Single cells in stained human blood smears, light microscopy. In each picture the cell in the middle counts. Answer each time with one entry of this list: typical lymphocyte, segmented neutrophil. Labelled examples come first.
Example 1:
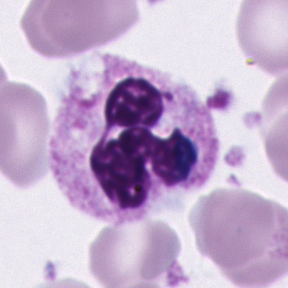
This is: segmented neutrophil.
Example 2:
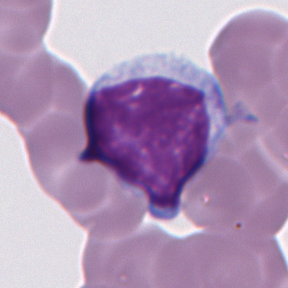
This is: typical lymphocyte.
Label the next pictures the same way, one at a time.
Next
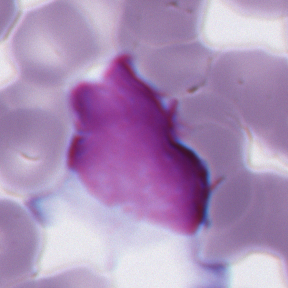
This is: typical lymphocyte.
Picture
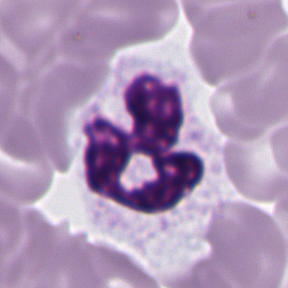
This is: segmented neutrophil.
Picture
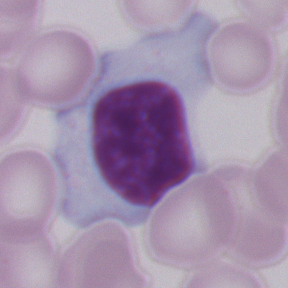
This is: typical lymphocyte.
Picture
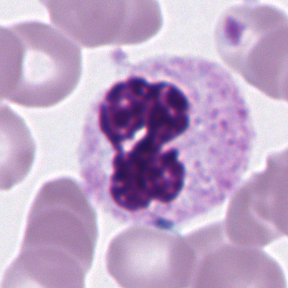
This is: segmented neutrophil.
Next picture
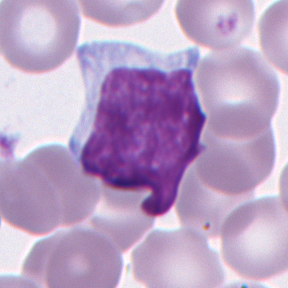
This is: typical lymphocyte.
